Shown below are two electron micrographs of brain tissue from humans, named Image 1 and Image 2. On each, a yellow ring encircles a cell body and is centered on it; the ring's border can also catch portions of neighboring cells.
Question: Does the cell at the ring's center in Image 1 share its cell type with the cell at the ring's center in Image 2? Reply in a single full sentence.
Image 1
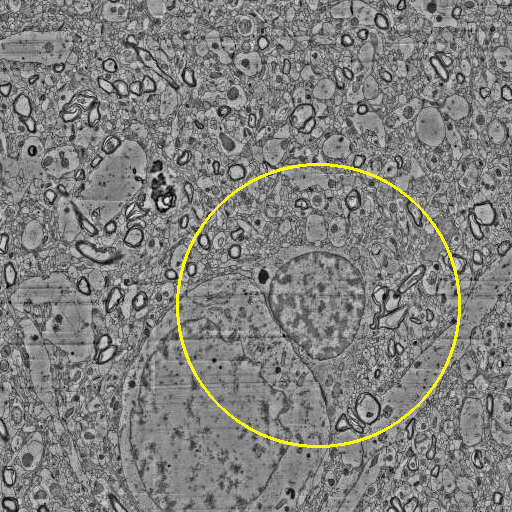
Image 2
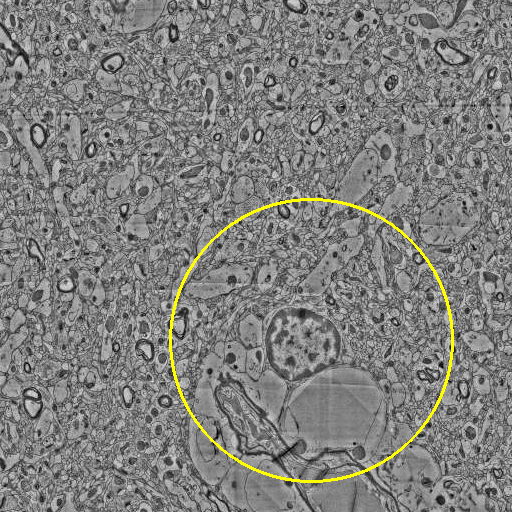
No, the two cells at the ring centers, in Image 1 and Image 2, are of two cell types.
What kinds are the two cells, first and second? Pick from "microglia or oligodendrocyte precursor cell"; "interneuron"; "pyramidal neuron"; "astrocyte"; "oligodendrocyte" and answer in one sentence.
The second picture holds a microglial cell or oligodendrocyte precursor cell in its ring, and the first holds an oligodendrocyte.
